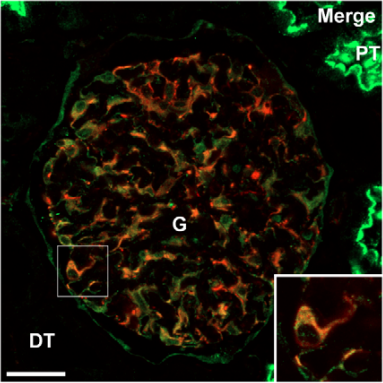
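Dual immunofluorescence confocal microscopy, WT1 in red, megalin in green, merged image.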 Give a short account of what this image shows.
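A round glomerulus fills most of this field, its tuft crowded with winding red and orange-yellow cell profiles along the capillary loops. These are the podocytes, whose bodies and processes wrap the outside of the loops. At the upper right, a neighbouring tubule shows a very bright green, ragged luminal border, quite unlike the glomerular tuft. The boxed cell, enlarged in the inset, shows an orange-yellow cell body with red extensions.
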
